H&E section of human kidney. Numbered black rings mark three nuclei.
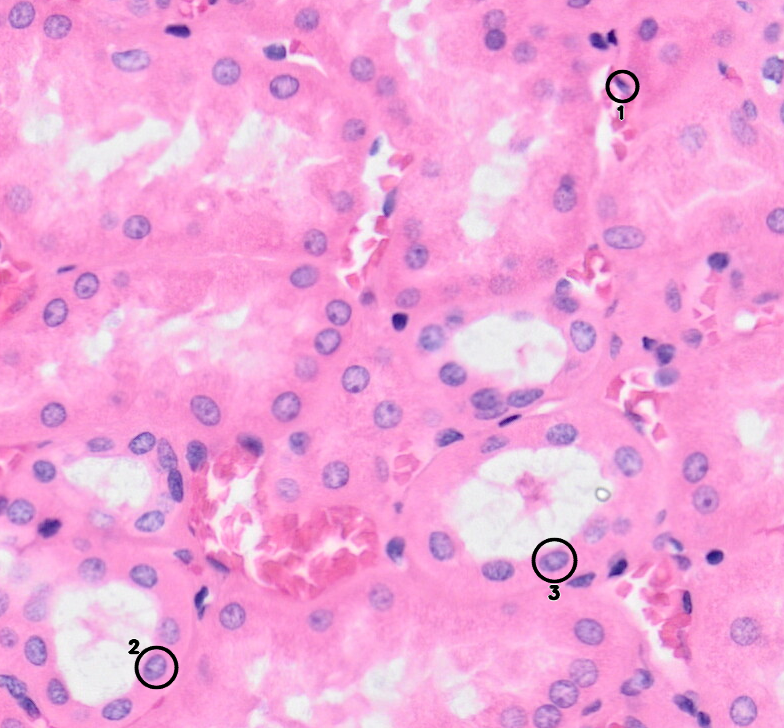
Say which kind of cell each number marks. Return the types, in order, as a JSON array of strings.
["endothelial cell", "loop of Henle or distal tubule cell", "loop of Henle or distal tubule cell"]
